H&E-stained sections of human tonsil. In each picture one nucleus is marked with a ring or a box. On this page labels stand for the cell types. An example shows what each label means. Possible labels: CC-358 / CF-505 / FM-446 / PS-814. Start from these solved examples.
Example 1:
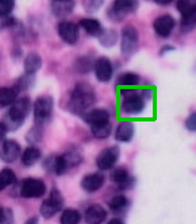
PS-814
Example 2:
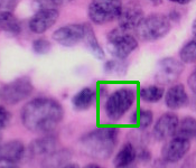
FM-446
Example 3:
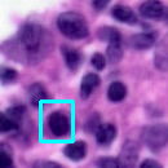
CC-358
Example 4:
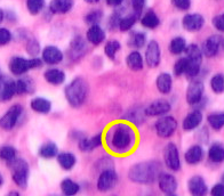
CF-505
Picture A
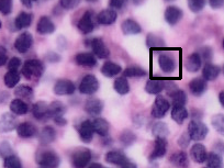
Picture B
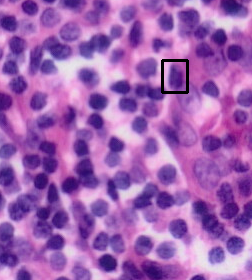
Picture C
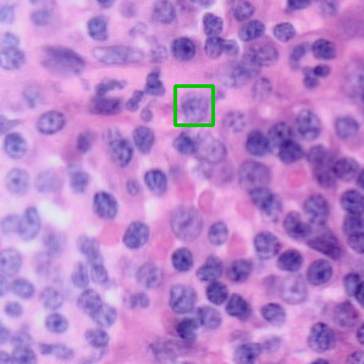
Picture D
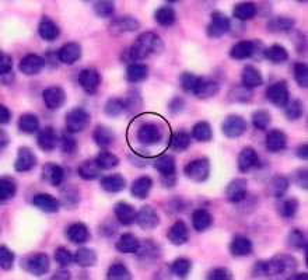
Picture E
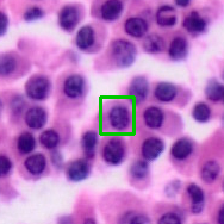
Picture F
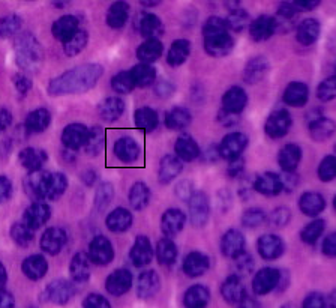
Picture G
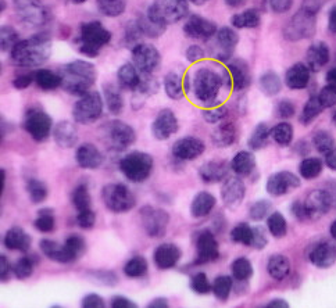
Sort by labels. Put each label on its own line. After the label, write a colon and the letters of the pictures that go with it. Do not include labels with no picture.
CC-358: E, F
CF-505: B, C
FM-446: G
PS-814: A, D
